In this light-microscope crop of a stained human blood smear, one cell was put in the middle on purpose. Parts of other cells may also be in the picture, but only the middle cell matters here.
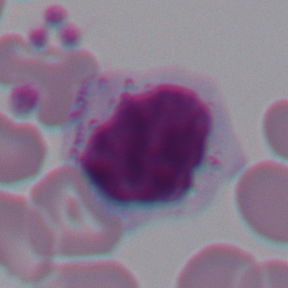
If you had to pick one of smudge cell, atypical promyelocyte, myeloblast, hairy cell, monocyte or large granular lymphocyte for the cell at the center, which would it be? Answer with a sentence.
Within this crop, a large granular lymphocyte occupies the central position.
